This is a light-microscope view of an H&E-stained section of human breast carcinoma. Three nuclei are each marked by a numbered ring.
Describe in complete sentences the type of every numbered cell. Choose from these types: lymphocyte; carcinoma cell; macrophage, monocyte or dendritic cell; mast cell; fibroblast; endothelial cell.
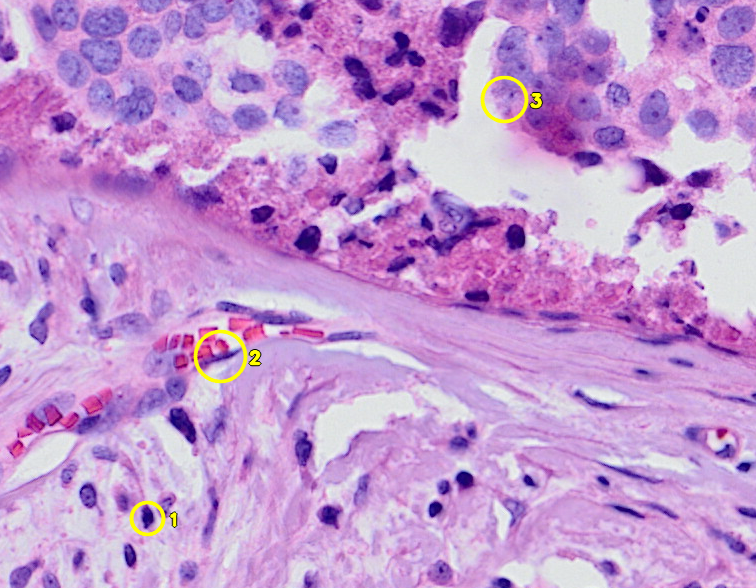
Cell 1 is a lymphocyte. Cell 2 is an endothelial cell. Cell 3 is a carcinoma cell.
